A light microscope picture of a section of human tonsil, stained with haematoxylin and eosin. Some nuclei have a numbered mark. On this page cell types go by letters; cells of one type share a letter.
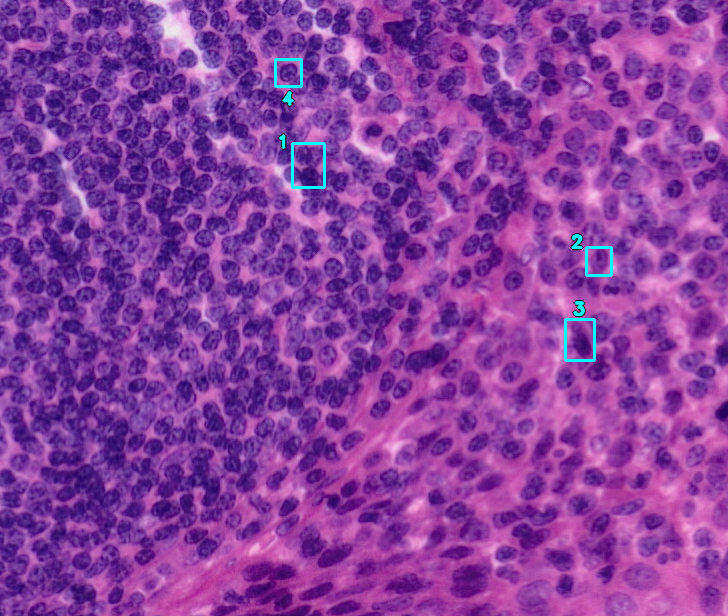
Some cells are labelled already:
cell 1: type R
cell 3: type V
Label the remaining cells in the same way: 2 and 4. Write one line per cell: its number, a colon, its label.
2: type V
4: type R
